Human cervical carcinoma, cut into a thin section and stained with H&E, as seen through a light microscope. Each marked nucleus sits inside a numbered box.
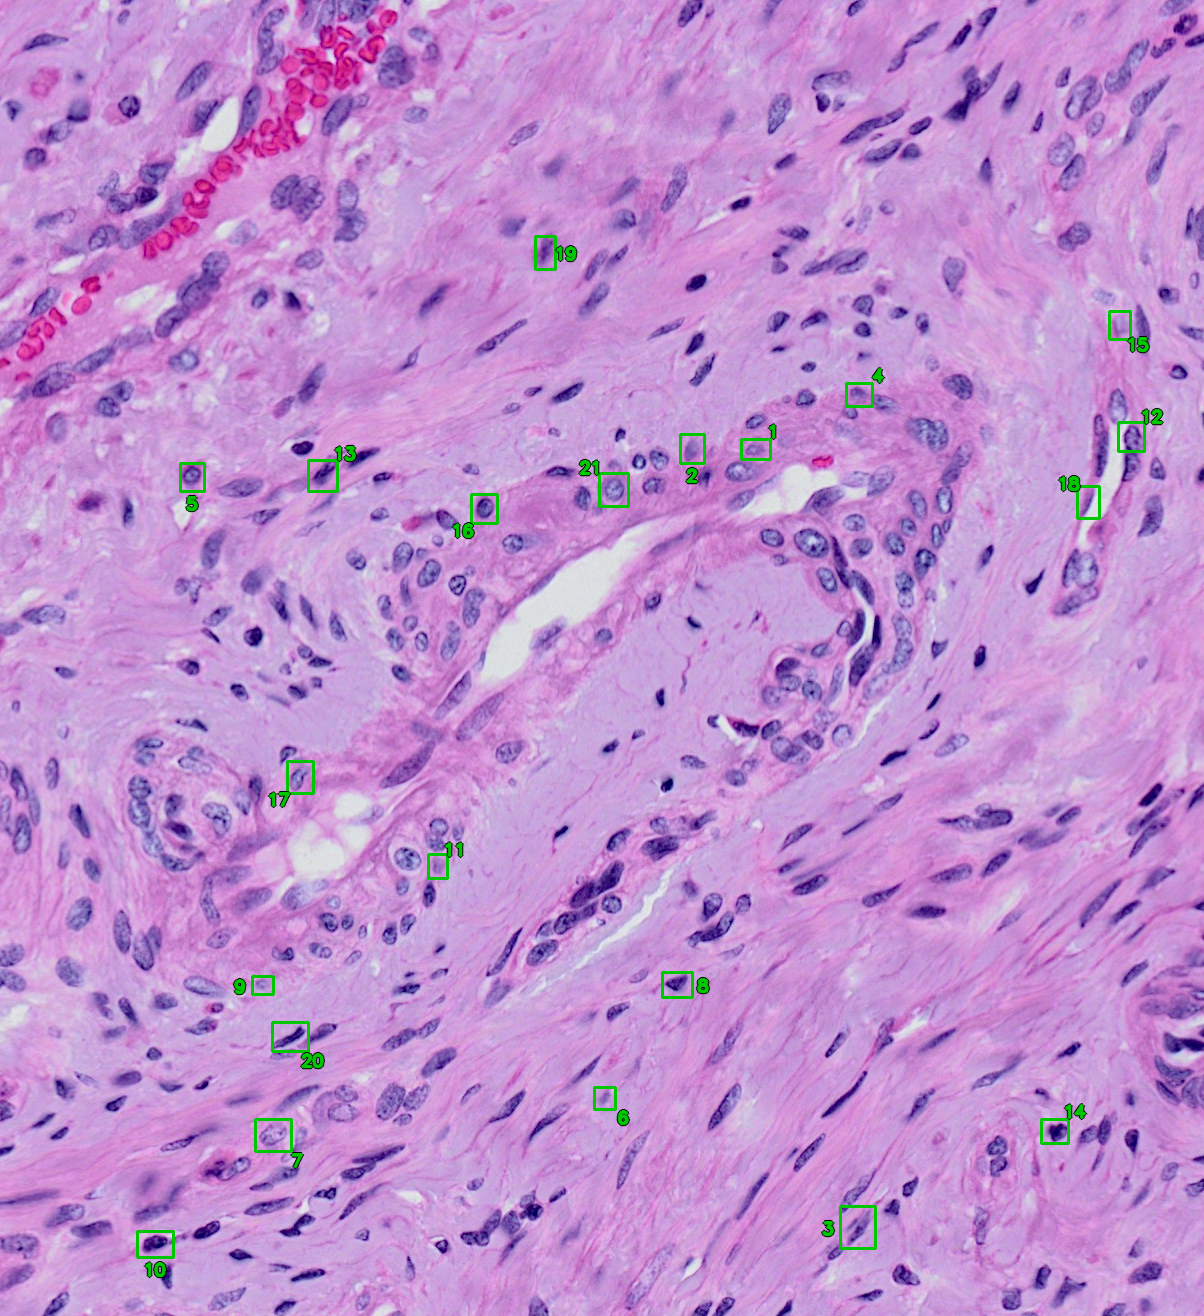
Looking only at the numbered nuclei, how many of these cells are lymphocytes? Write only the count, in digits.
2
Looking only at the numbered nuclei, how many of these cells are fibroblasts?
4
